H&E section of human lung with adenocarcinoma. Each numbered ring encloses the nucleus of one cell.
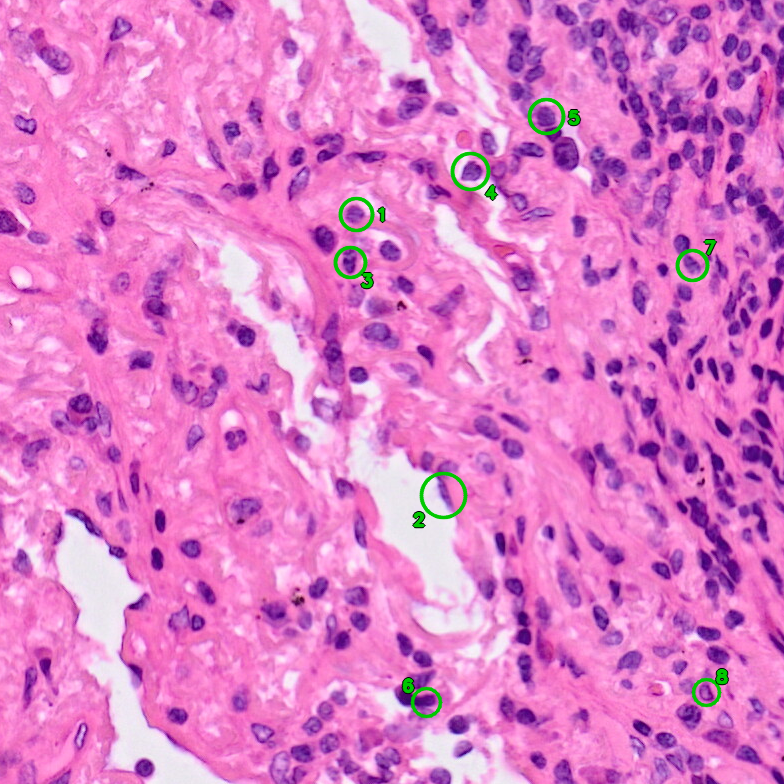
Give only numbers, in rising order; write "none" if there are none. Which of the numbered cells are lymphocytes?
1, 3, 4, 5, 7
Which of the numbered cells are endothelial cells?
2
